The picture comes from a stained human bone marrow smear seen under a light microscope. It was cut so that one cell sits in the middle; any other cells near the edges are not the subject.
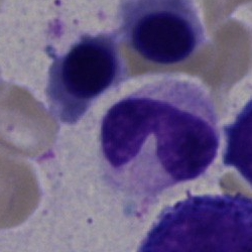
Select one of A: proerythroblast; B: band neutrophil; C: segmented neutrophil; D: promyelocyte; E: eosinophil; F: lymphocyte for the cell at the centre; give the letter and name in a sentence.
Option B holds, for the cell in the middle is a band neutrophil.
